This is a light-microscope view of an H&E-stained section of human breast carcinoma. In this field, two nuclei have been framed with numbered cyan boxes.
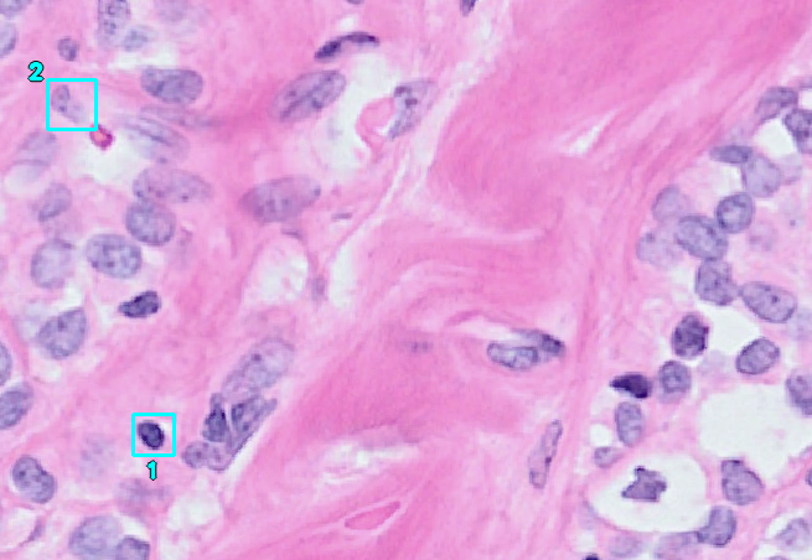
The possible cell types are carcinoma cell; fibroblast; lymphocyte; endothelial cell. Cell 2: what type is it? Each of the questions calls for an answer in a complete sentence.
Denoted by the label 2 in the section is an endothelial cell.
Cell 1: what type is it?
The cell given label 1 is a lymphocyte.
